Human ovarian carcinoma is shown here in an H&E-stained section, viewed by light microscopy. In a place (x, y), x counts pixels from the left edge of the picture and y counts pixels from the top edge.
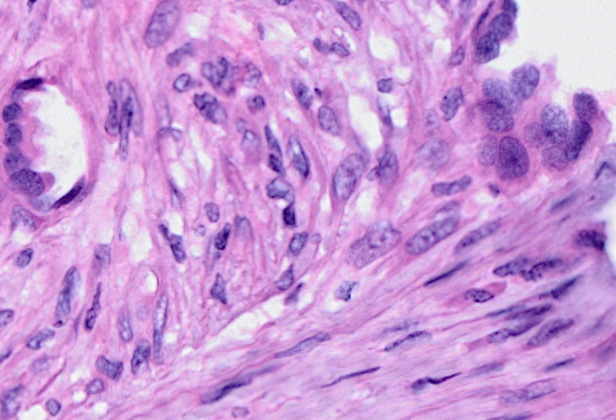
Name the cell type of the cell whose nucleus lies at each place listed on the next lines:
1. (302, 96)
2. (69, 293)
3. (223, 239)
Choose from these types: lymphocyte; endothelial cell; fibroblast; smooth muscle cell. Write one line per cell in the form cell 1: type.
cell 1: fibroblast
cell 2: fibroblast
cell 3: lymphocyte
